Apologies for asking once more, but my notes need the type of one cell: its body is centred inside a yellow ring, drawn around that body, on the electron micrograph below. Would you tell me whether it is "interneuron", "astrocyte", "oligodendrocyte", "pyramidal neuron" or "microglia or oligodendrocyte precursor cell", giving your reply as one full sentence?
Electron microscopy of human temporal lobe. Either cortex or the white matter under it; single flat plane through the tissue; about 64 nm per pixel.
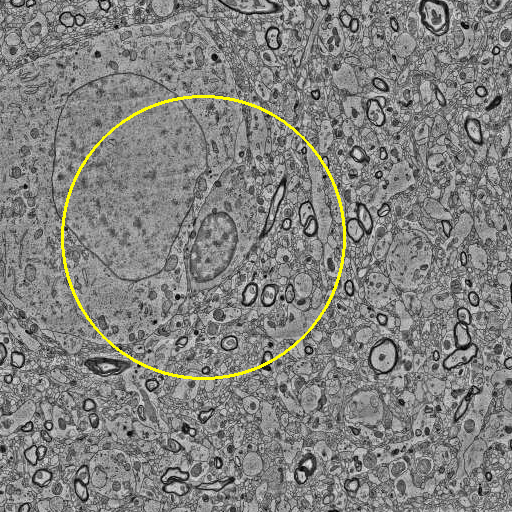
The cell that the yellow ring is centred on is an oligodendrocyte in this micrograph.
